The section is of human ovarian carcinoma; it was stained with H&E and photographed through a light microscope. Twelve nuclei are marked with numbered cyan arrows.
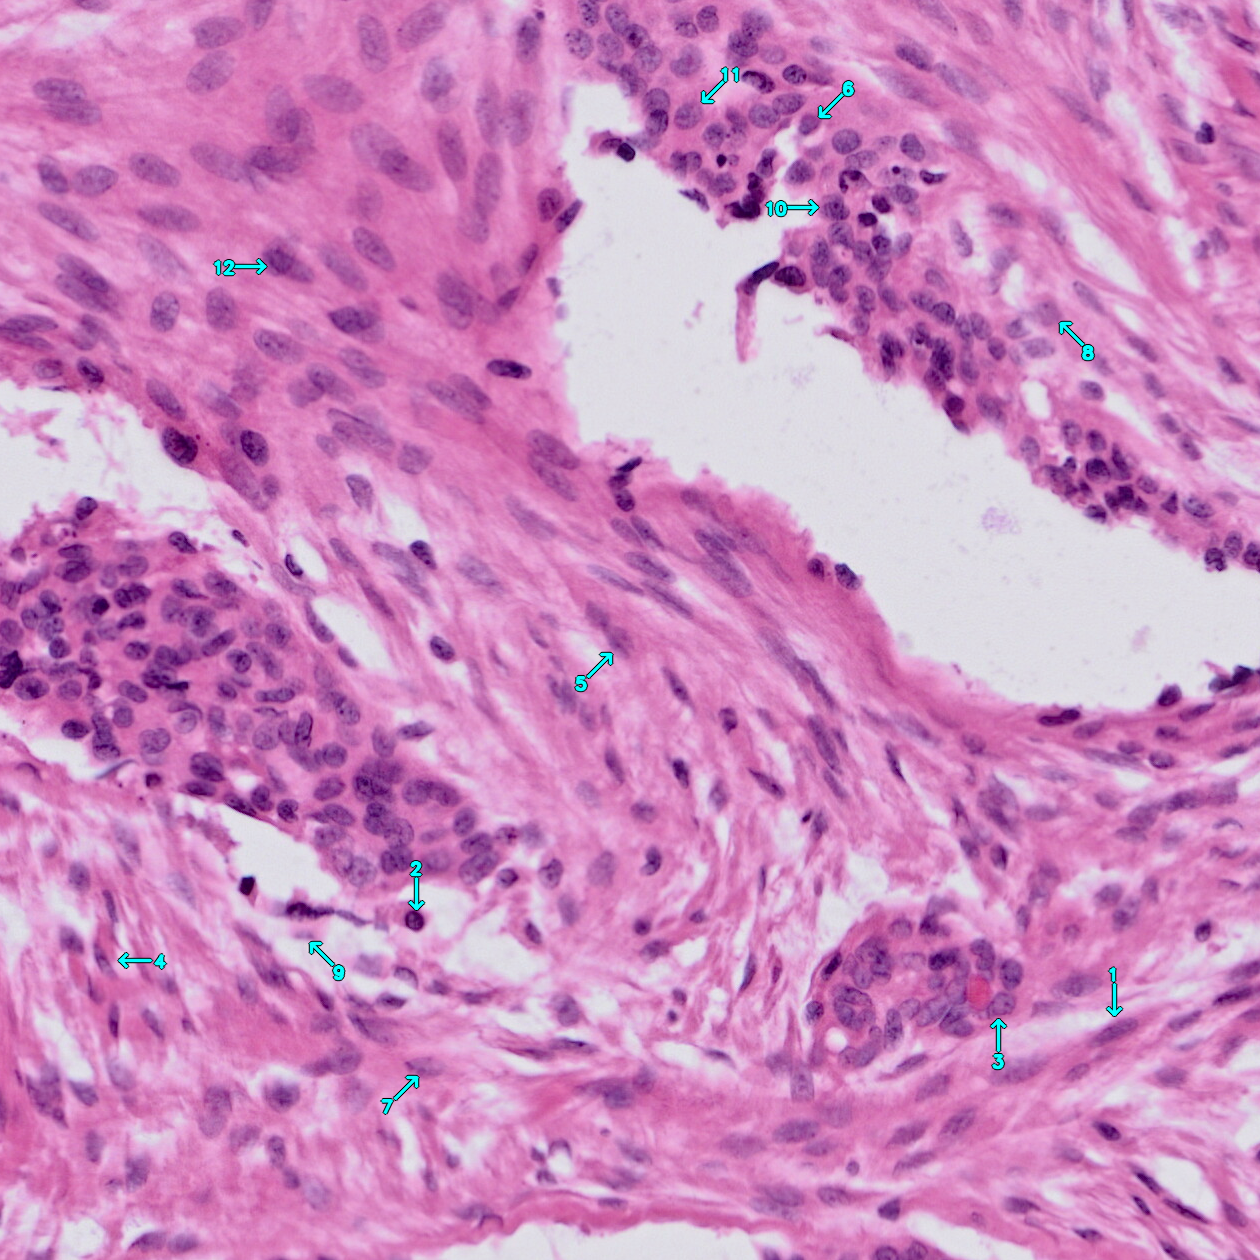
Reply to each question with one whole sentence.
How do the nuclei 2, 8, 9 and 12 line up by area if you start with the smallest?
The order from the smallest nucleus to the largest is 9, 2, 8, 12.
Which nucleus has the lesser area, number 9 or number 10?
Number 9 is smaller, since number 10 takes up about 3 times as much area.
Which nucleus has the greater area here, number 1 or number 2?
Nucleus 1 is larger, with an area about 2 times that of nucleus 2.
